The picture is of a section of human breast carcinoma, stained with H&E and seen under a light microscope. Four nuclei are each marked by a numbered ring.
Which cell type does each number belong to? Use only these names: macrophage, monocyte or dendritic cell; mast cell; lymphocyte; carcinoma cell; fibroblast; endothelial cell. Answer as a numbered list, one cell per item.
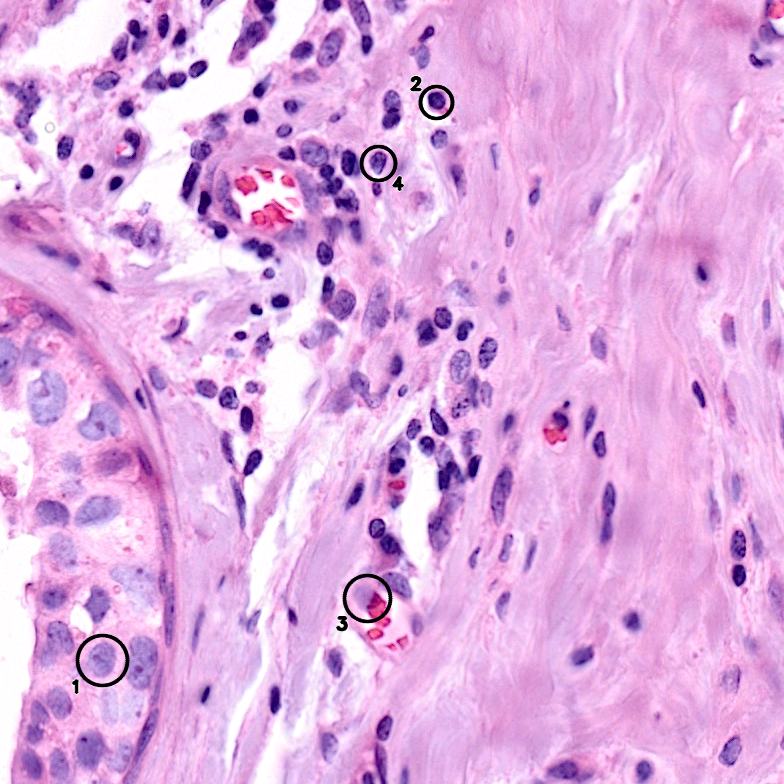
1. carcinoma cell
2. lymphocyte
3. endothelial cell
4. lymphocyte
